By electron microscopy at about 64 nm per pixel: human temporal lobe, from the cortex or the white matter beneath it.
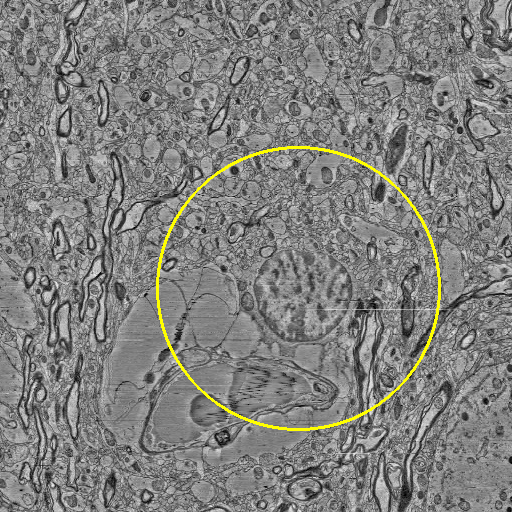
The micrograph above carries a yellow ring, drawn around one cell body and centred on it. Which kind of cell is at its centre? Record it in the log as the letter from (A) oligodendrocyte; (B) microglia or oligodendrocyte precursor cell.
A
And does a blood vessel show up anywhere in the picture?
Yes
